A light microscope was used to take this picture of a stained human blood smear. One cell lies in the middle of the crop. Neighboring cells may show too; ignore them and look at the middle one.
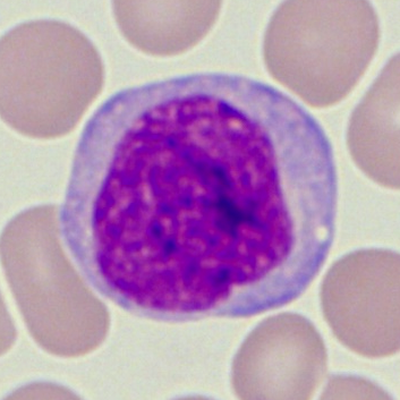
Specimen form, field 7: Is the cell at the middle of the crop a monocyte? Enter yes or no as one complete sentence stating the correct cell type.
Yes, the centred cell is categorised as a monocyte.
